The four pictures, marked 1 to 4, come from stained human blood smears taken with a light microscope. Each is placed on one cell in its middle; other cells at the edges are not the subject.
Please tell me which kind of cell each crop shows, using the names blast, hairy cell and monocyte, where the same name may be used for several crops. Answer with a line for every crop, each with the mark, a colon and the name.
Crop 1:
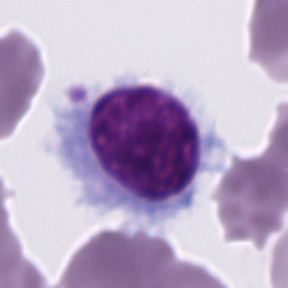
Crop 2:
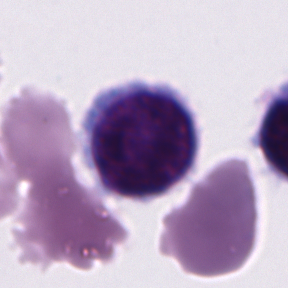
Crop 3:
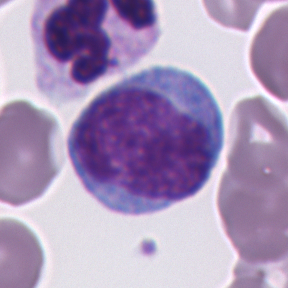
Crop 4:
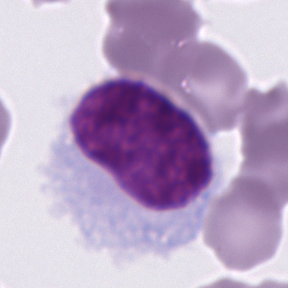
1: hairy cell
2: hairy cell
3: monocyte
4: hairy cell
